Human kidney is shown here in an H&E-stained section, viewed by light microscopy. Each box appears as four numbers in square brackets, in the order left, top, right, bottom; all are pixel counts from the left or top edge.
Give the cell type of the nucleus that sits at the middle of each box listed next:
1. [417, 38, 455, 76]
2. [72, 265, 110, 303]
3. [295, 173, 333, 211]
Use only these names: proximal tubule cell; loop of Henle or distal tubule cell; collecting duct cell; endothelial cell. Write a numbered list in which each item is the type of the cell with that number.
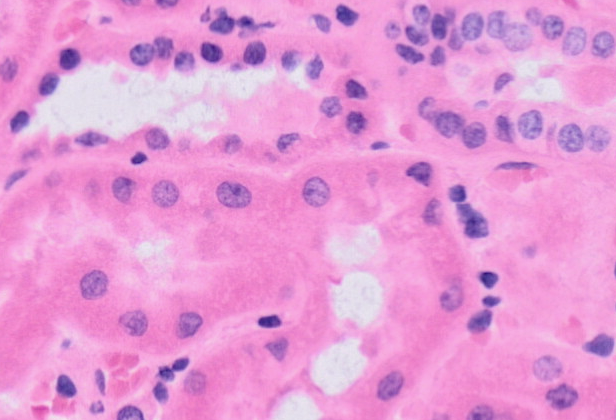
1. collecting duct cell
2. proximal tubule cell
3. proximal tubule cell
